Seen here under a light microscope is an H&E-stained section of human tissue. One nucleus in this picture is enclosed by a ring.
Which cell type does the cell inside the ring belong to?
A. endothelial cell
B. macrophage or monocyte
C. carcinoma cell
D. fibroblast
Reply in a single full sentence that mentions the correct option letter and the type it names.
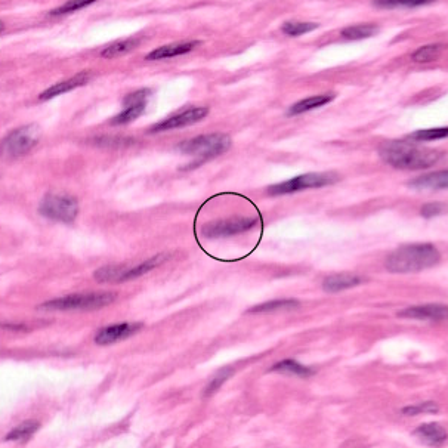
Given that the cell inside the ring is a fibroblast, option D is the correct one.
